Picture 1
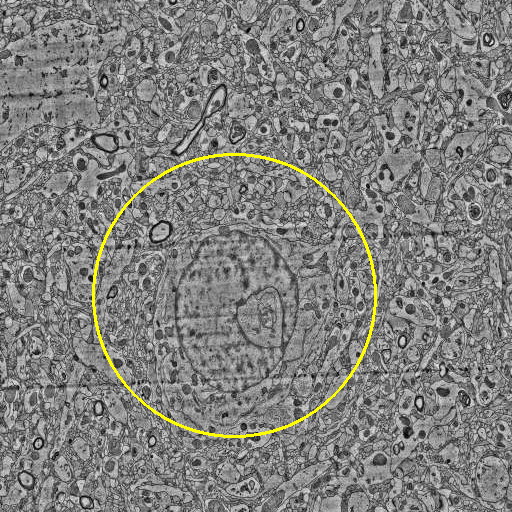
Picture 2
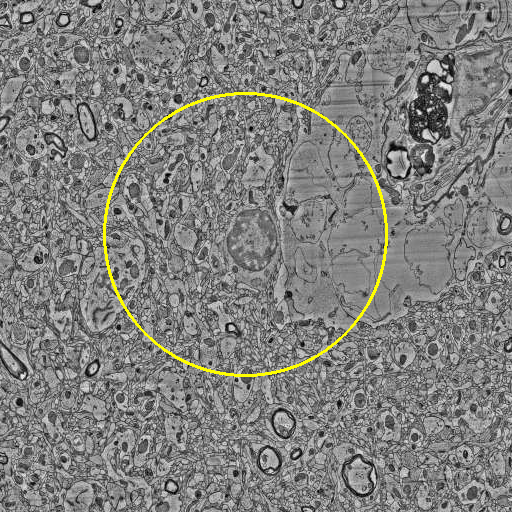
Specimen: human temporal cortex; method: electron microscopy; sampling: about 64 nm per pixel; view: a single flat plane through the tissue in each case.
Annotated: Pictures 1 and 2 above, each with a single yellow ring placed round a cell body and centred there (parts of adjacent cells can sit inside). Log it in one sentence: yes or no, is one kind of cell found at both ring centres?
No, the ring centres of the two pictures hold cells of two kinds.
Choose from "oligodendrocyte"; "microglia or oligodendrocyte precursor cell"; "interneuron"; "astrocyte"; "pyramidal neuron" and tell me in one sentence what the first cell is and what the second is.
What the first ring is centred on is an interneuron; what the second ring is centred on is an oligodendrocyte.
